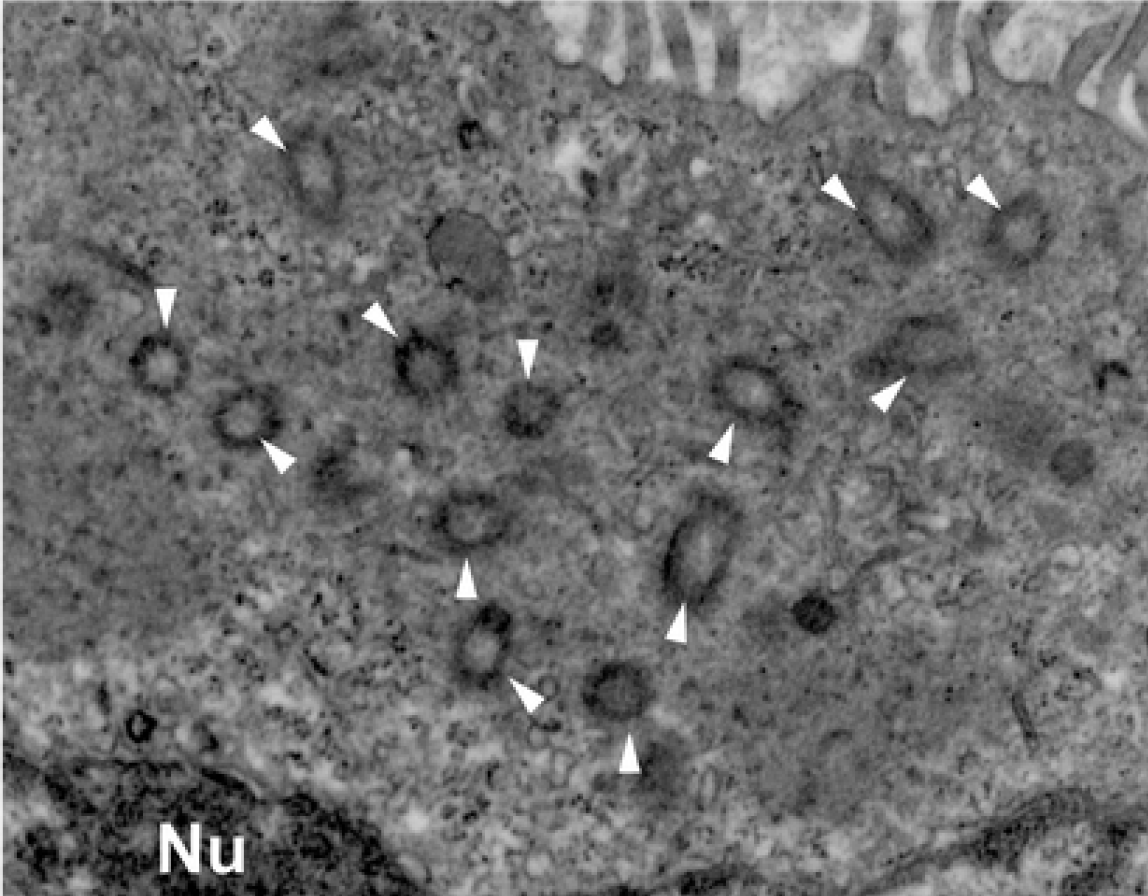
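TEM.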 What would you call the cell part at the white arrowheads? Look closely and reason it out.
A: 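Basal bodies. Small ring-shaped and barrel-shaped electron-dense cylinders are scattered through the cytoplasm. They lie deep in the cell, between the nucleus and the apical surface.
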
